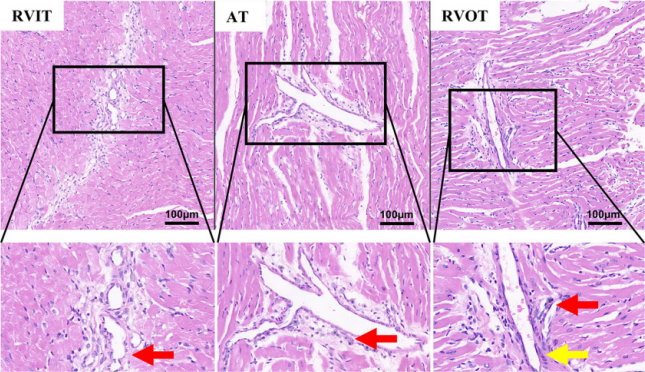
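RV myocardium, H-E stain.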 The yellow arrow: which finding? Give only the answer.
wall thickening of microvessels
